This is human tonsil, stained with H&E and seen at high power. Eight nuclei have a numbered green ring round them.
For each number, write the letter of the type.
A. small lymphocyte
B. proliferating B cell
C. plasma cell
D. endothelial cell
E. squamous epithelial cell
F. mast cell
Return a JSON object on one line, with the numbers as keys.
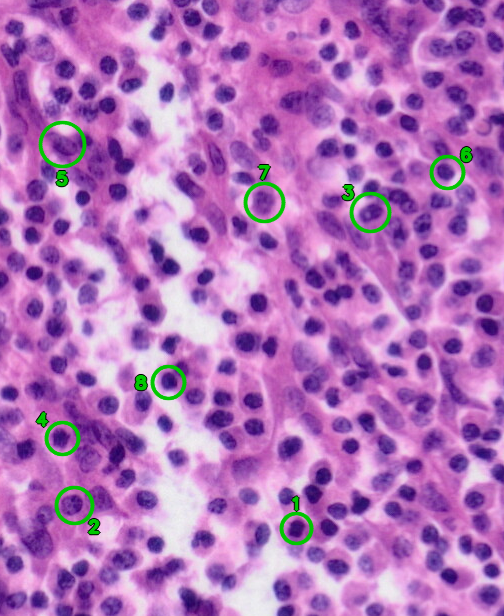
{"1": "C", "2": "C", "3": "C", "4": "E", "5": "E", "6": "C", "7": "E", "8": "C"}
